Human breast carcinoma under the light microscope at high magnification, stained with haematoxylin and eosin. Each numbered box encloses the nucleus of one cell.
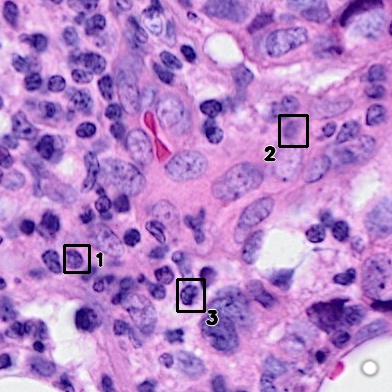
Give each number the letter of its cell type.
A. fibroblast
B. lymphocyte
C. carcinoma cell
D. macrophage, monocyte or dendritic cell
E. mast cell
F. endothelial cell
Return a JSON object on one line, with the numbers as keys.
{"1": "B", "2": "F", "3": "B"}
